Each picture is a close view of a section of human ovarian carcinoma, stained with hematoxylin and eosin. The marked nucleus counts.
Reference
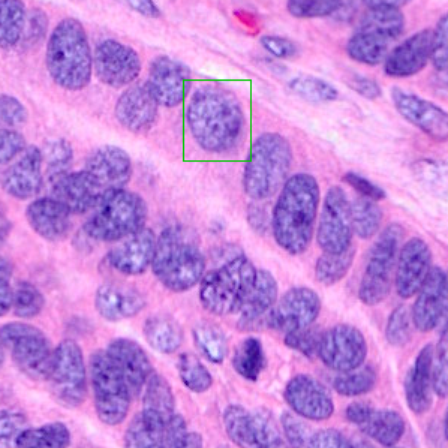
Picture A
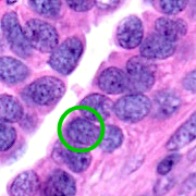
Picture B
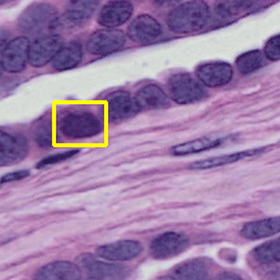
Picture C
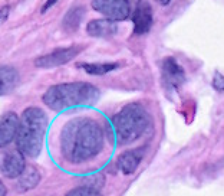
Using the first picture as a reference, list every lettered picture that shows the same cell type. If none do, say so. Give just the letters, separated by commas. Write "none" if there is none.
A, B, C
